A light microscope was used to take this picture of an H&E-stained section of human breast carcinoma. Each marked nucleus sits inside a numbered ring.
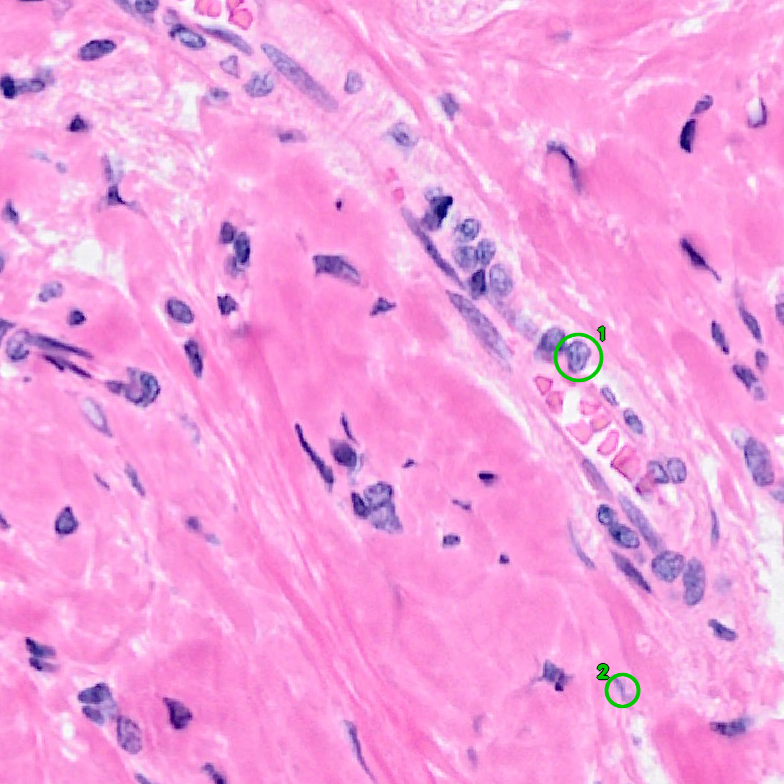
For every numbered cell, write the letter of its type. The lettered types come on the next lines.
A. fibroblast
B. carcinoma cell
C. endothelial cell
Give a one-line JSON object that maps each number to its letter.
{"1": "C", "2": "A"}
